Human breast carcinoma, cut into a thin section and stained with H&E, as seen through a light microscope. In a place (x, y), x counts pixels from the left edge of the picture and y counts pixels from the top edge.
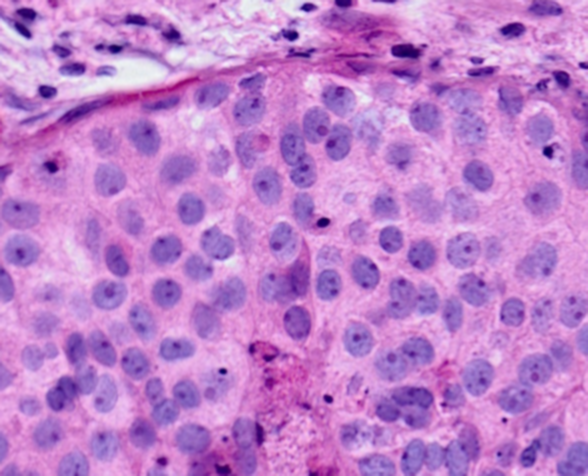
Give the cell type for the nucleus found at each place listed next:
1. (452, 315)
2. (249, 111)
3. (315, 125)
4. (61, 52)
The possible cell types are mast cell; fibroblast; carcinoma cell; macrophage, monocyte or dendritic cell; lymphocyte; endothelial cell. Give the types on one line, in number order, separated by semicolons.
carcinoma cell; carcinoma cell; carcinoma cell; lymphocyte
